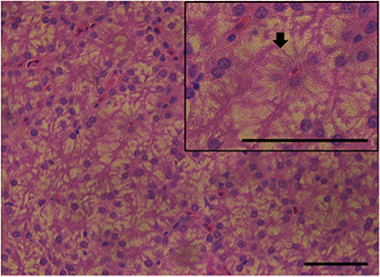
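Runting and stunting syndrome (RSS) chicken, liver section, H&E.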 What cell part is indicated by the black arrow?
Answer: Vacuoles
